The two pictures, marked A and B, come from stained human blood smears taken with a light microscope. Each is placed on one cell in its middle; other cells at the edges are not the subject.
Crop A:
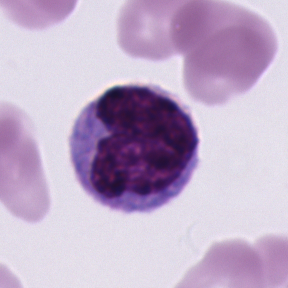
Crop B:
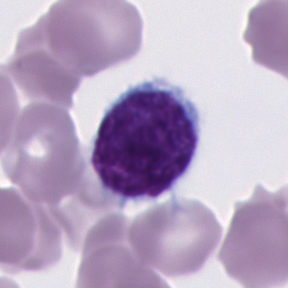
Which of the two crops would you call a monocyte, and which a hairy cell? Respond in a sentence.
Crop A is identified as a monocyte, and crop B is identified as a hairy cell.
